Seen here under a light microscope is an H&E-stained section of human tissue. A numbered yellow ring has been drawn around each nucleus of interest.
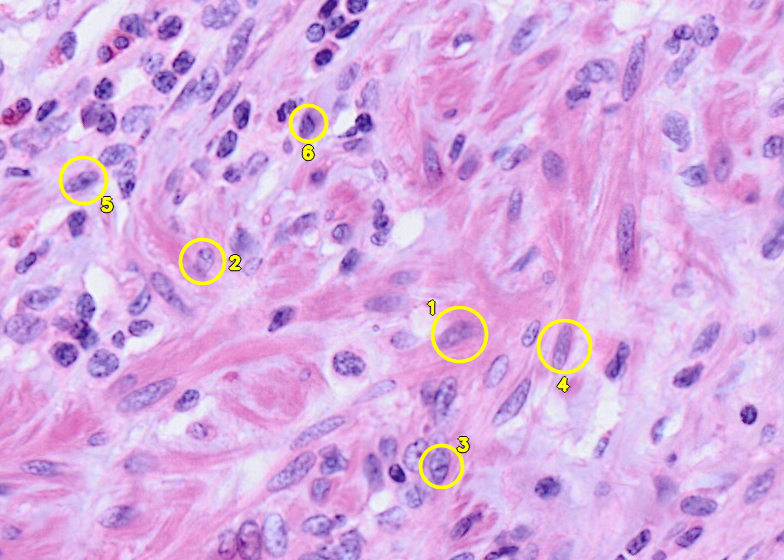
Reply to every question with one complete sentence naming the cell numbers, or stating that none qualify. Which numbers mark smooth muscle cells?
The cells with labels 1, 2 and 4 are smooth muscle cells.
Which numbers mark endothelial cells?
Only one of the numbered nuclei, number 3, belongs to an endothelial cell.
